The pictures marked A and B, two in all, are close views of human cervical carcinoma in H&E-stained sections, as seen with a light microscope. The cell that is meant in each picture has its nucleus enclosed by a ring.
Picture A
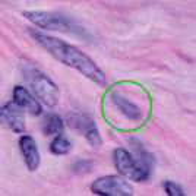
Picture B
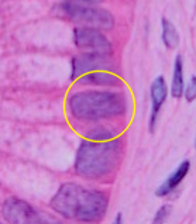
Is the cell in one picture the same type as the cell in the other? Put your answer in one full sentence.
No; the cell in picture A is a smooth muscle cell, while the one in picture B is a secretory epithelial cell.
